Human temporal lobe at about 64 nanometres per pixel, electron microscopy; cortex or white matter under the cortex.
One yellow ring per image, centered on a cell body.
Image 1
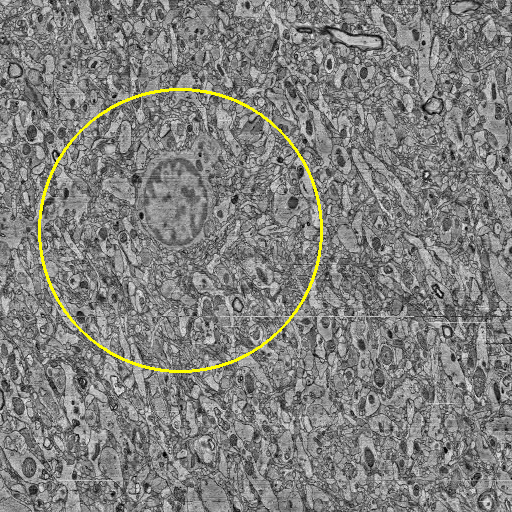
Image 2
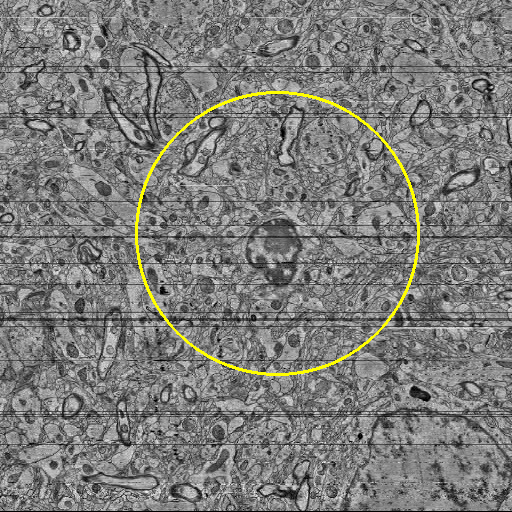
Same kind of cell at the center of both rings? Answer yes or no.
no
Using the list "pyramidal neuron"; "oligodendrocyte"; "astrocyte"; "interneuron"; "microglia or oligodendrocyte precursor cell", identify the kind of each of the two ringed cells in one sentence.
The first is an oligodendrocyte and the second is a microglial cell or oligodendrocyte precursor cell.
